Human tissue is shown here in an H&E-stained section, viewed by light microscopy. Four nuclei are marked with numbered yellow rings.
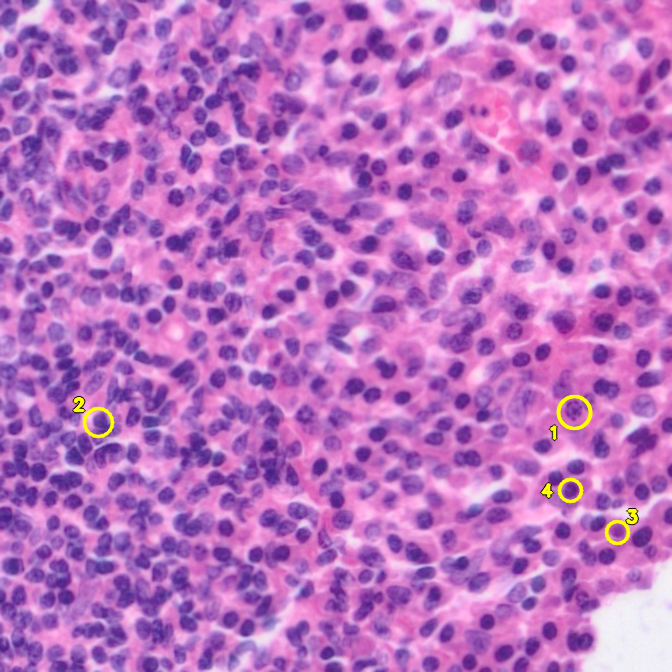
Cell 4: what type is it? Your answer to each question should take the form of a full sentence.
The numbered cell 4 is identified here as a plasma cell.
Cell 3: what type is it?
The cell marked with number 3 is a plasma cell.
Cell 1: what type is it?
The cell assigned the number 1 is a plasma cell.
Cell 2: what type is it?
The numeral 2 marks a small lymphocyte in this section.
